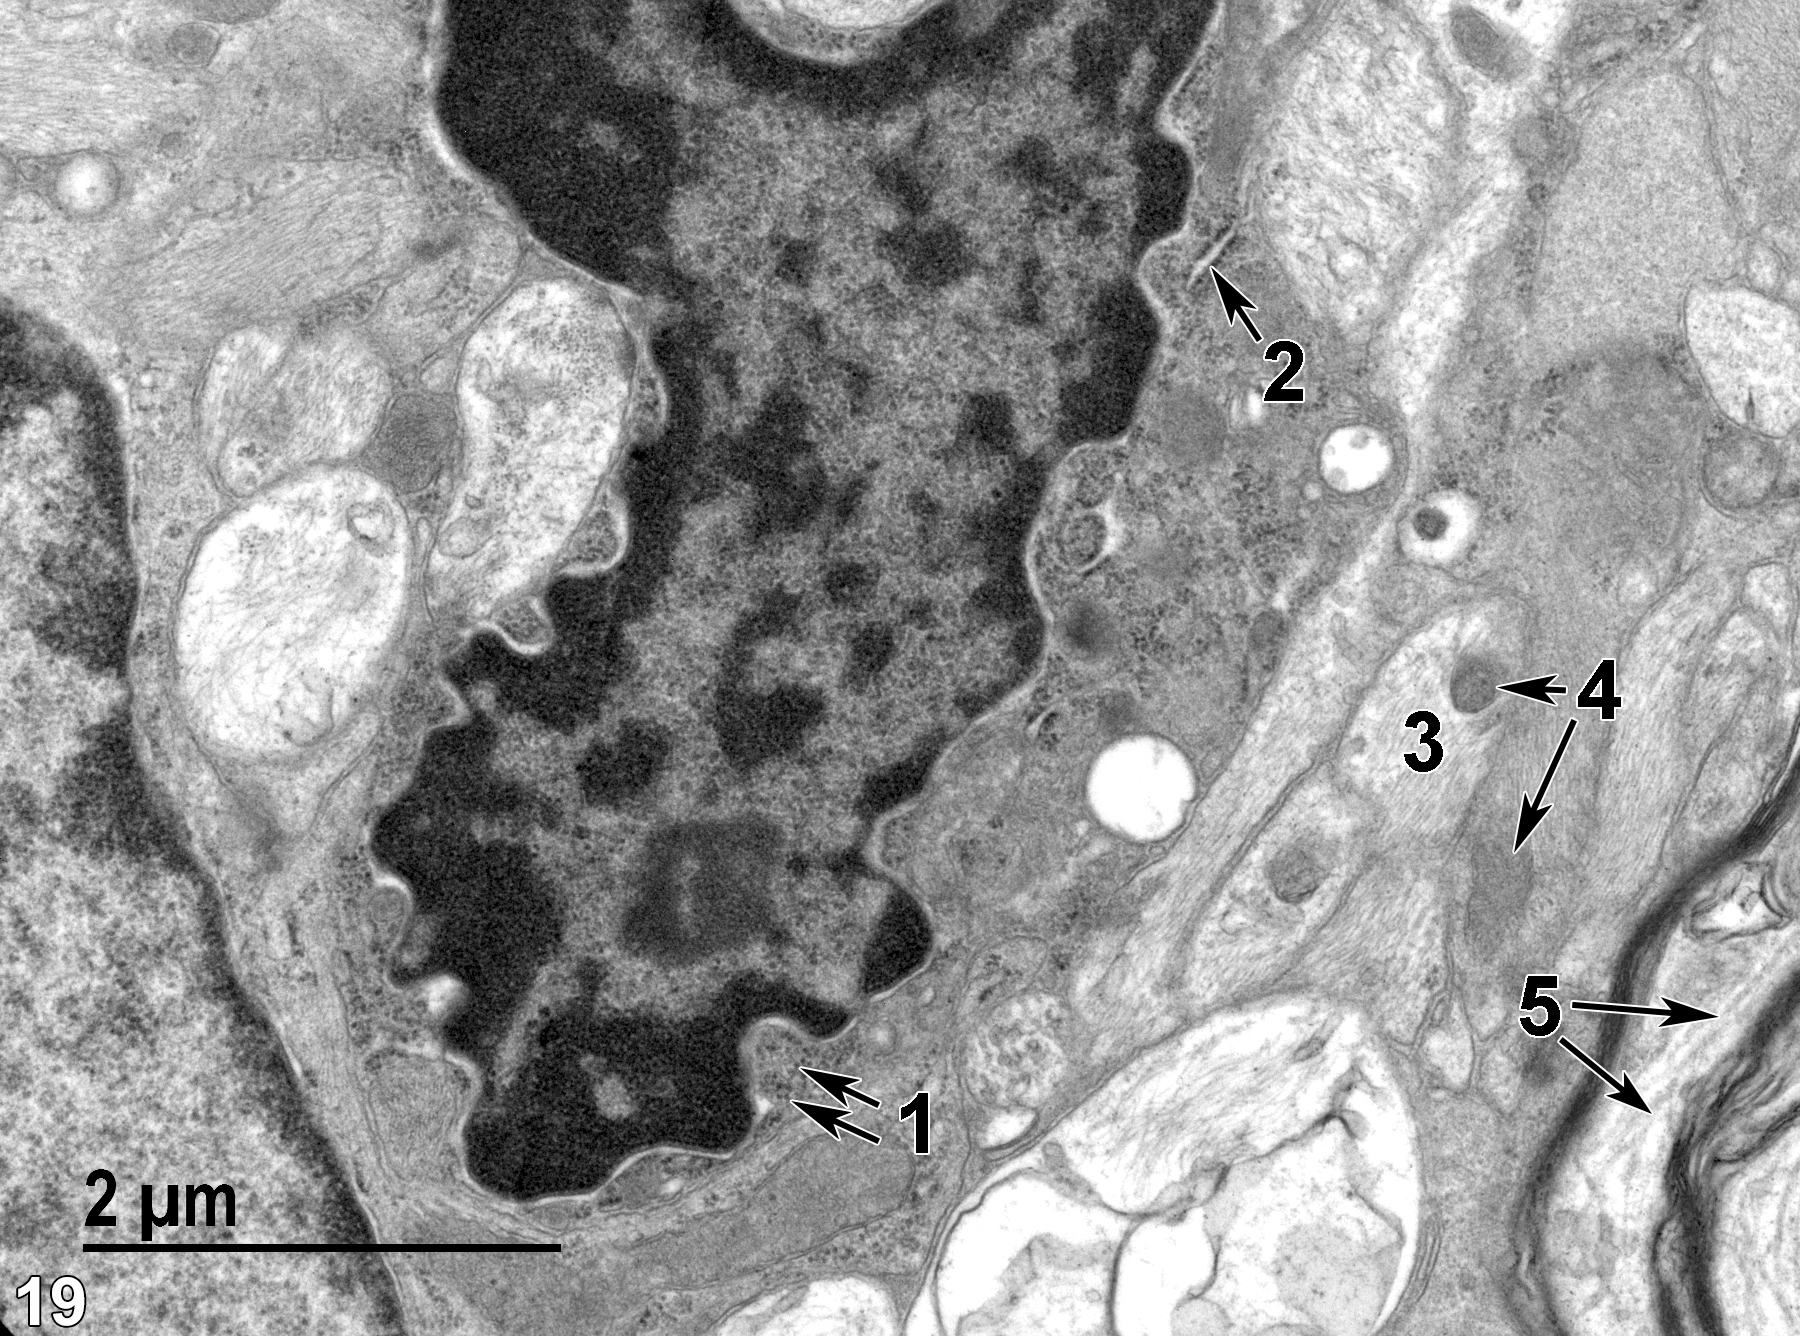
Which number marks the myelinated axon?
5.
